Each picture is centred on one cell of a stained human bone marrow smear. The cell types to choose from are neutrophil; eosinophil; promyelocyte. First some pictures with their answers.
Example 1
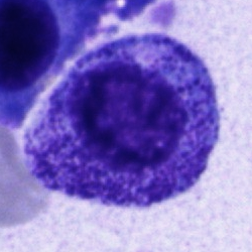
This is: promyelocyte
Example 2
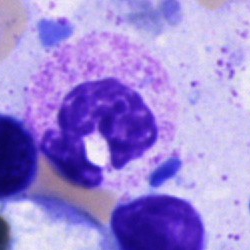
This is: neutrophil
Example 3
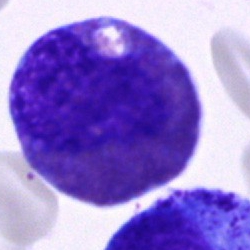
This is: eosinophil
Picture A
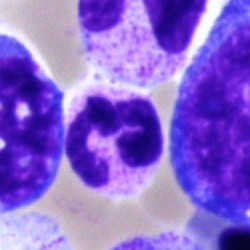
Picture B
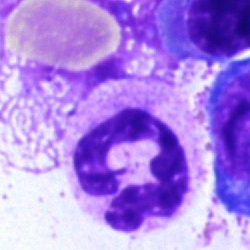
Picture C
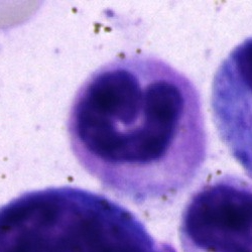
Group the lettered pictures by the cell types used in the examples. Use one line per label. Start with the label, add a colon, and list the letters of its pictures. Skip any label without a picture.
neutrophil: A, B, C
